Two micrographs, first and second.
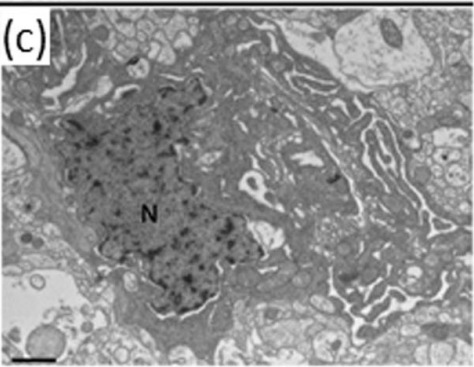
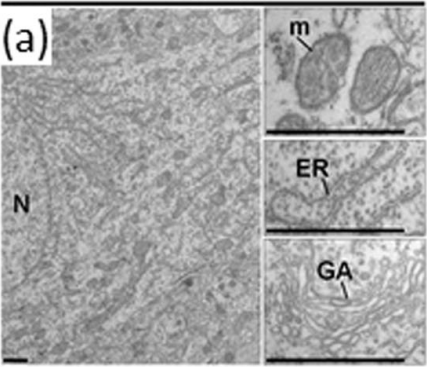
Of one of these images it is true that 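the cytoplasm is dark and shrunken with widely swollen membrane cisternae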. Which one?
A: The first image.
